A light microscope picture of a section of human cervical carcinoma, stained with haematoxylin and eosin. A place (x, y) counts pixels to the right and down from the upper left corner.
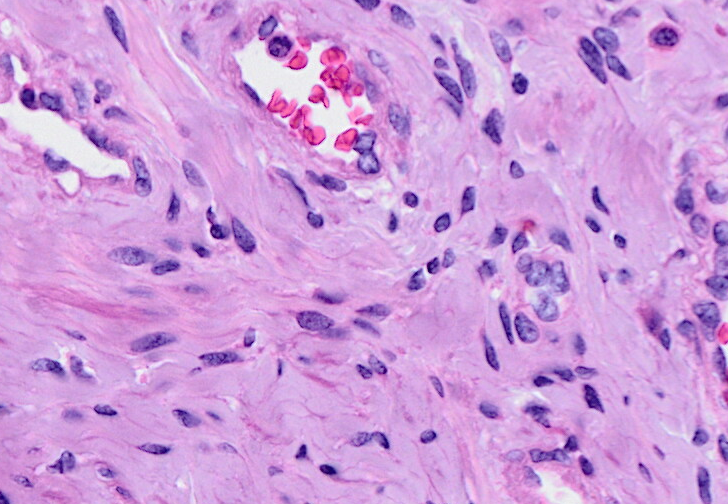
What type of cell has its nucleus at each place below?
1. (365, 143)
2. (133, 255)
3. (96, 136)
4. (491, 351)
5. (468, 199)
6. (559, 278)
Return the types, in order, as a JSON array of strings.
["endothelial cell", "fibroblast", "endothelial cell", "fibroblast", "fibroblast", "endothelial cell"]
